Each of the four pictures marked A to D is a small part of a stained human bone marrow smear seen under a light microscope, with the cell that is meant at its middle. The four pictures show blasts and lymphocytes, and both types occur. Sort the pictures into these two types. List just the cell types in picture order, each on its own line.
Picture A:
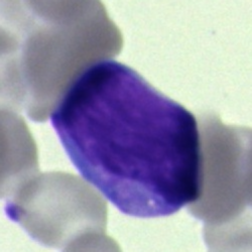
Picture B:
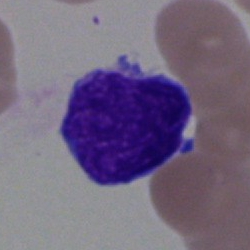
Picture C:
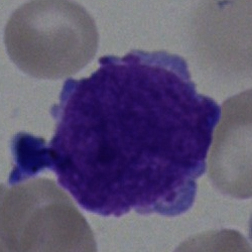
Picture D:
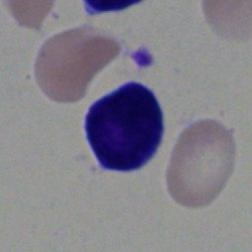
blast
blast
blast
lymphocyte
